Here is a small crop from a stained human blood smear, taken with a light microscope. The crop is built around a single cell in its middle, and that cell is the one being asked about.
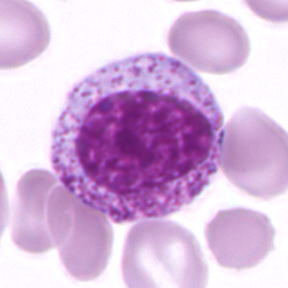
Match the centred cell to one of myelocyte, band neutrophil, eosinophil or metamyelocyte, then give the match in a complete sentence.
The cell at the middle of the crop is recognized as a metamyelocyte.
